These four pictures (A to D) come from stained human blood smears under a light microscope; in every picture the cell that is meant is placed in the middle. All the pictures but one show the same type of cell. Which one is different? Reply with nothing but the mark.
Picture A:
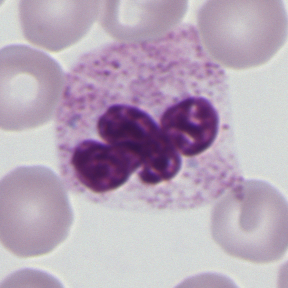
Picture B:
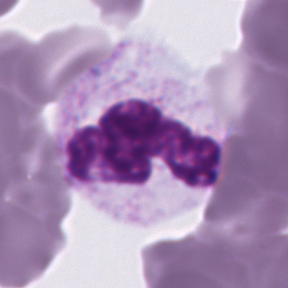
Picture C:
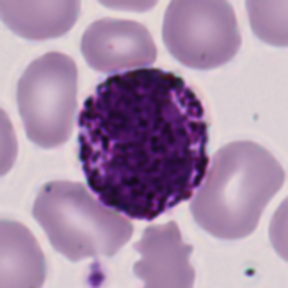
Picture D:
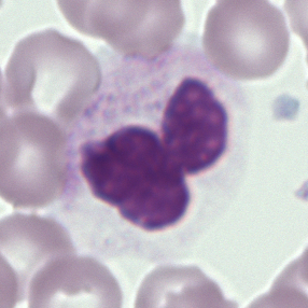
C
